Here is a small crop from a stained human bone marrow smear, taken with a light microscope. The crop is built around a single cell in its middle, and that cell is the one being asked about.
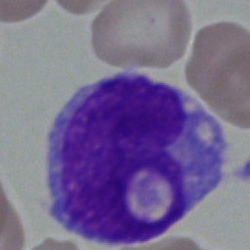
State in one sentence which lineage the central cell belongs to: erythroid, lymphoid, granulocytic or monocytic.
The central cell of this crop is identified as belonging to the monocytic lineage.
